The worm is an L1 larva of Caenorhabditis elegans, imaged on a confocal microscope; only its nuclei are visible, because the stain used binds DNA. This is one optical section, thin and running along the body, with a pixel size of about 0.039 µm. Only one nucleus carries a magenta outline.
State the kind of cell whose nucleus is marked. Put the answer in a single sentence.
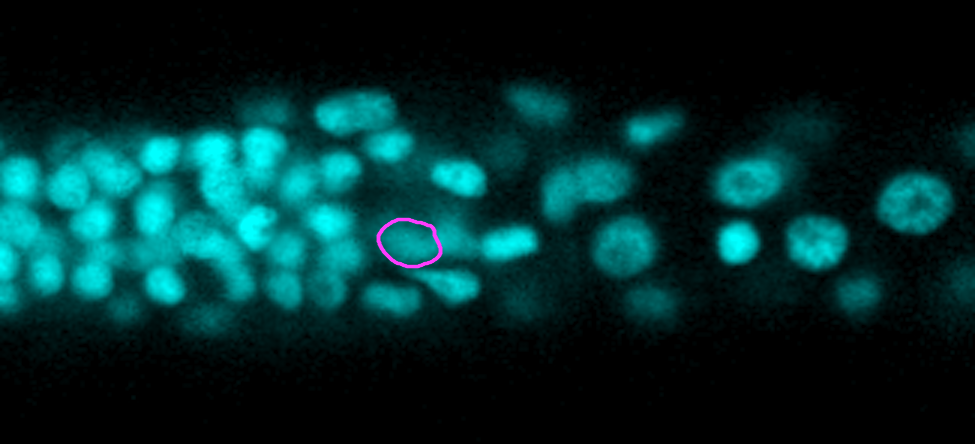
The cell with the marked nucleus is a neuron.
